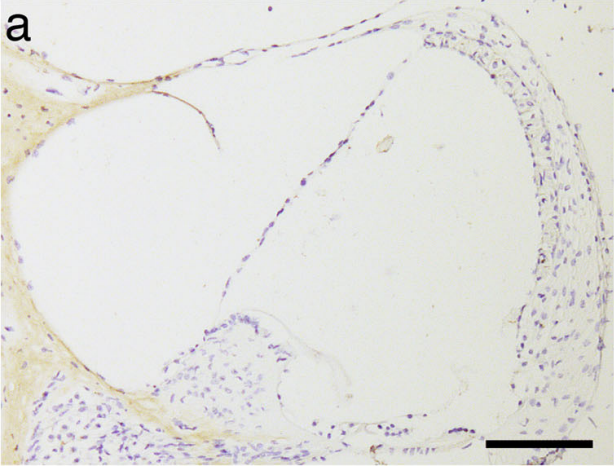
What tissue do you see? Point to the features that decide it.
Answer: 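A roughly triangular fluid space is bounded by a thin oblique membrane. A thick cellular band lines the outer wall on the right. A cellular mound with an overhanging flap sits on the floor of the duct. The answer: cochlea.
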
